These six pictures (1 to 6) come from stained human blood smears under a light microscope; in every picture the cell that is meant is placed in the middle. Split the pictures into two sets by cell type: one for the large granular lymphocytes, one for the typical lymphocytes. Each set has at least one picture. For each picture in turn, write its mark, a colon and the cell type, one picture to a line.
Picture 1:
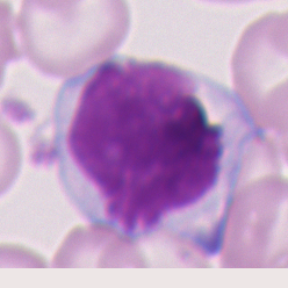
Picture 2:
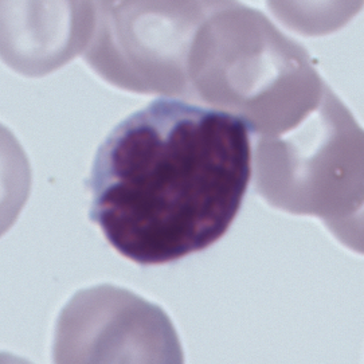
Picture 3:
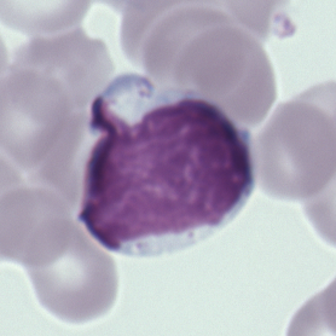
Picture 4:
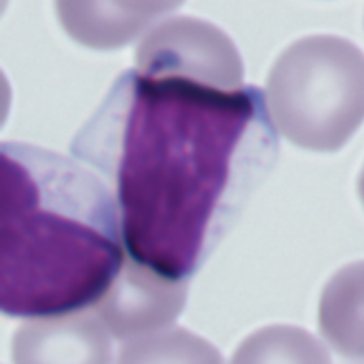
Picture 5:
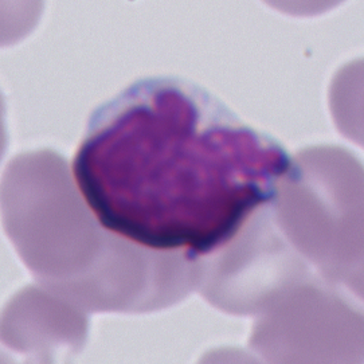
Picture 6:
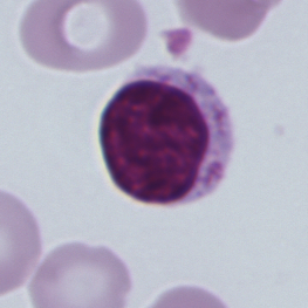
1: typical lymphocyte
2: typical lymphocyte
3: large granular lymphocyte
4: large granular lymphocyte
5: large granular lymphocyte
6: large granular lymphocyte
